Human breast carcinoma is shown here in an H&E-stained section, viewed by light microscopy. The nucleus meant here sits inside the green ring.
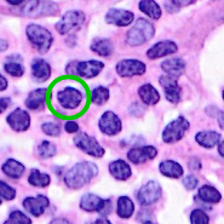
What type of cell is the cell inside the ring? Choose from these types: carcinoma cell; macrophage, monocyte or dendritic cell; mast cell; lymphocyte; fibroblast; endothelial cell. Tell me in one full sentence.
For cell typing purposes, the cell inside the ring is a lymphocyte.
